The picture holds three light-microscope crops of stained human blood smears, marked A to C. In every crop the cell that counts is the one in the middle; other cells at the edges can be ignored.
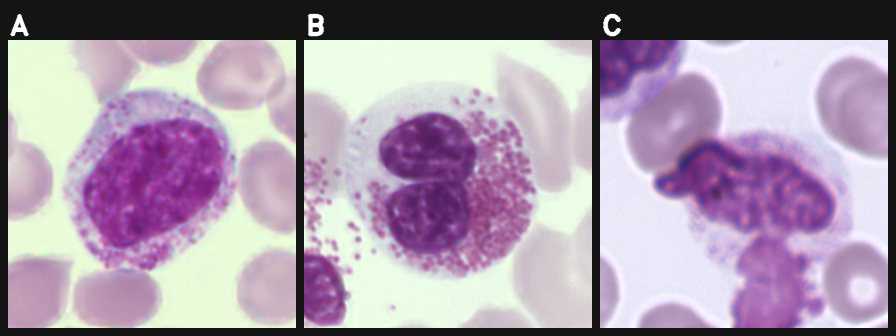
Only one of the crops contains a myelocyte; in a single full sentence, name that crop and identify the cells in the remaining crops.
In this set, crop A shows a myelocyte, whereas crop B is an eosinophil and crop C is a segmented neutrophil.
